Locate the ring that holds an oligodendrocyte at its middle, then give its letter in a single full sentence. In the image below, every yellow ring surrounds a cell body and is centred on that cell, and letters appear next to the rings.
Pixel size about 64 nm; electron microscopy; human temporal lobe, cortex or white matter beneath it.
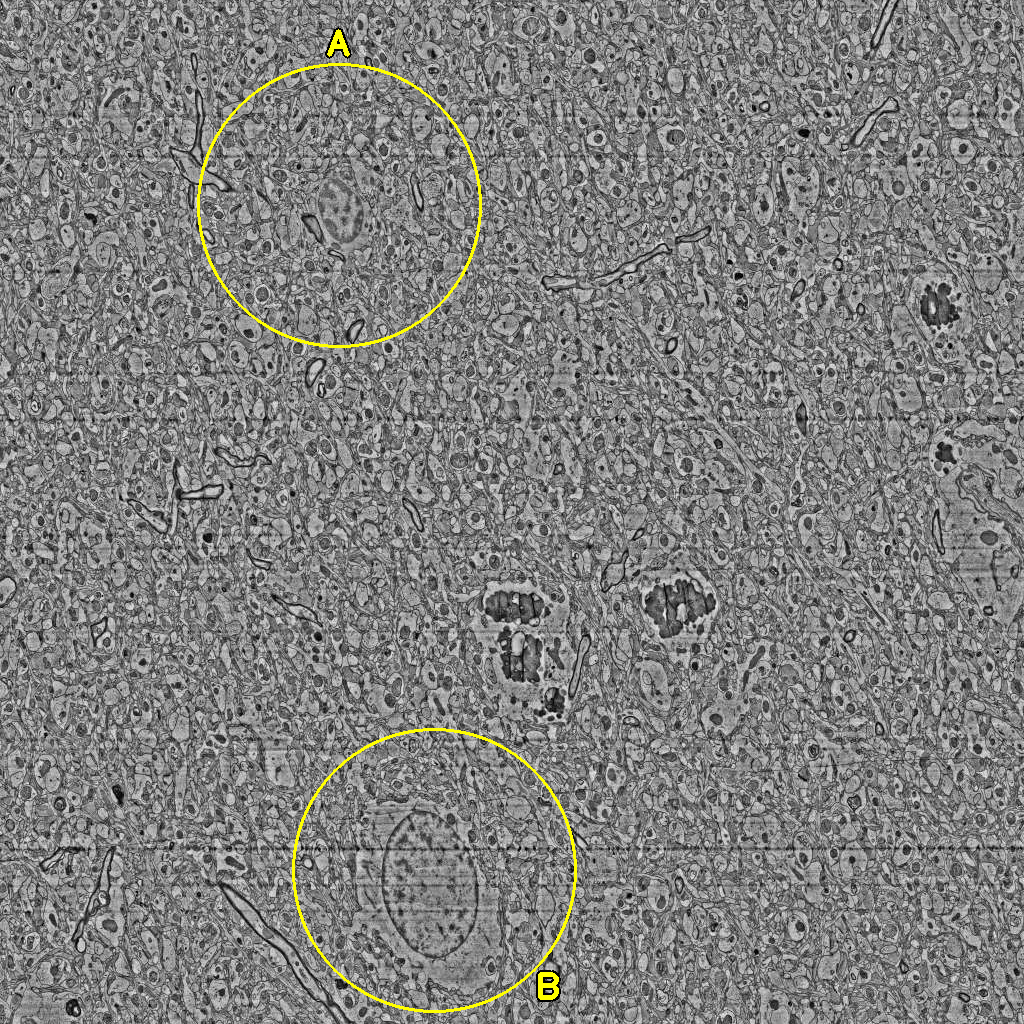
Ring A is the one centred on that kind of cell in the image.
